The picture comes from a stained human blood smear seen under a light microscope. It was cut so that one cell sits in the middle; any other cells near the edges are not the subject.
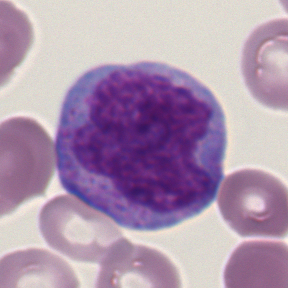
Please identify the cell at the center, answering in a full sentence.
The identification for the central cell is an atypical promyelocyte.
